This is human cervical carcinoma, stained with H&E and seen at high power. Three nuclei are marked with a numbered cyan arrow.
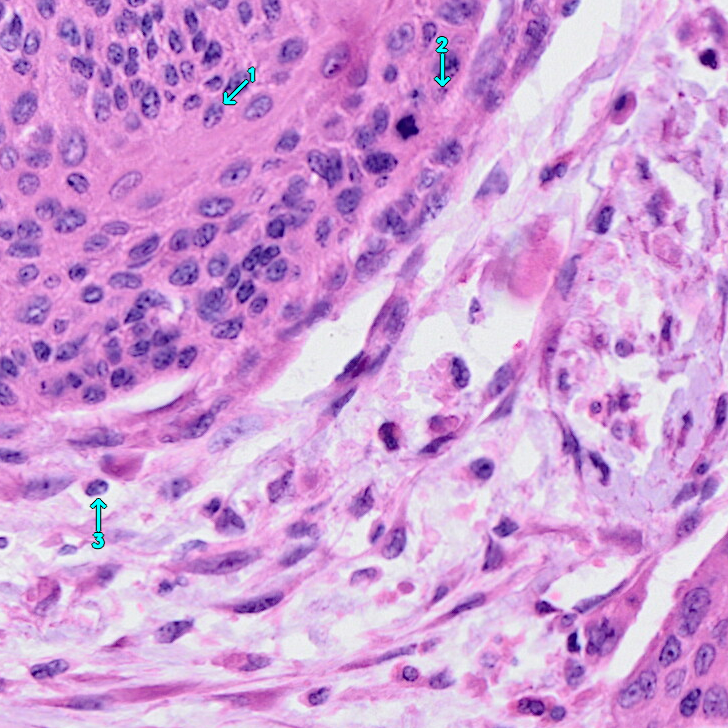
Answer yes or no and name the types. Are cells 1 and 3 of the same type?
No, cell 1 is a squamous carcinoma cell and cell 3, for its part, is a lymphocyte.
